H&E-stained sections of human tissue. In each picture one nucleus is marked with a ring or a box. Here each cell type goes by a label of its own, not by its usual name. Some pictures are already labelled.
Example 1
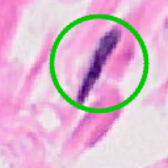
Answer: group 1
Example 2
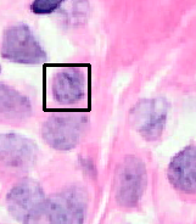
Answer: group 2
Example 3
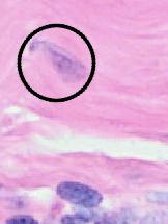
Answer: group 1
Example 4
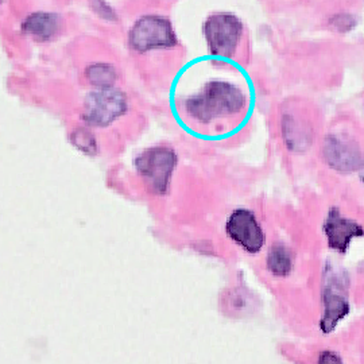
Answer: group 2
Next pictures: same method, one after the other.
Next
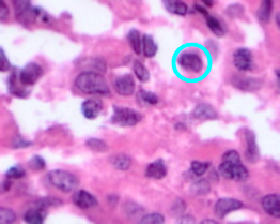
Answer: group 2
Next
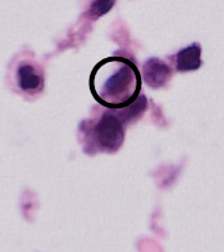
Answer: group 2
